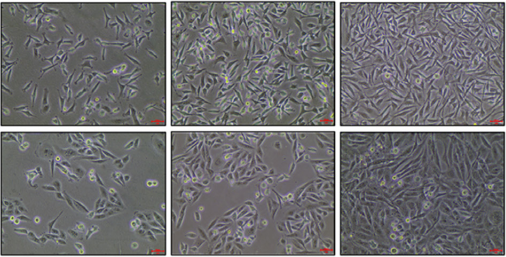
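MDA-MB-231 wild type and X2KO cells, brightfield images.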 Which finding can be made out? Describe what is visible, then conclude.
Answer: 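Increasing cell density. In each row, the left image has scattered cells with much empty space between them. In each row, the right image is nearly covered with cells. In each row, the middle image has more cells than the left and fewer than the right.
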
